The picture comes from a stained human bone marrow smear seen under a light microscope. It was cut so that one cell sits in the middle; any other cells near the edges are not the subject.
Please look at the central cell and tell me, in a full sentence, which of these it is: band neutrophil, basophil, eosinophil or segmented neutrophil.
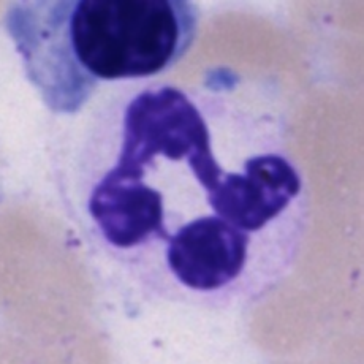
The central cell, amid any neighbouring cells, is a segmented neutrophil.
